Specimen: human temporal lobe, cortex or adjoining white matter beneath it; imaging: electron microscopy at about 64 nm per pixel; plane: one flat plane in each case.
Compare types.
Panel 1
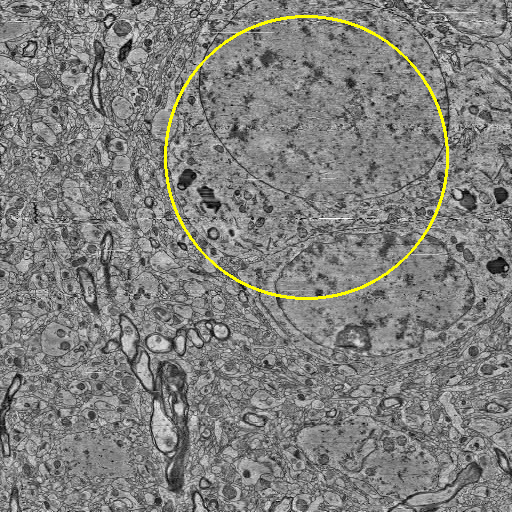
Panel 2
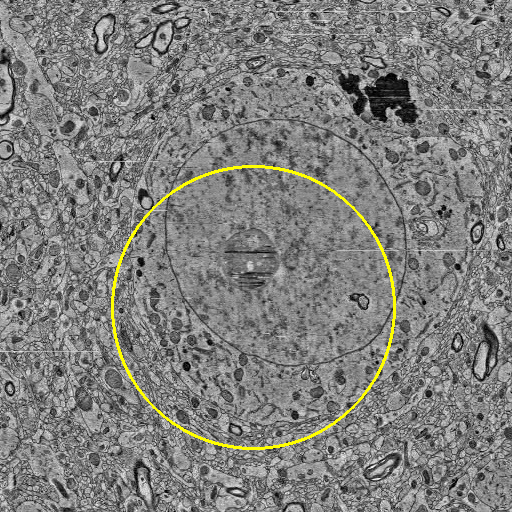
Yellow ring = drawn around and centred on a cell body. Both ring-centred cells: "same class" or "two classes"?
same class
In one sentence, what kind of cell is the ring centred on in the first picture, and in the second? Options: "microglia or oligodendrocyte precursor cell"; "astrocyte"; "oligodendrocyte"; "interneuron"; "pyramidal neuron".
The cell at the ring centre is a pyramidal neuron in both pictures.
